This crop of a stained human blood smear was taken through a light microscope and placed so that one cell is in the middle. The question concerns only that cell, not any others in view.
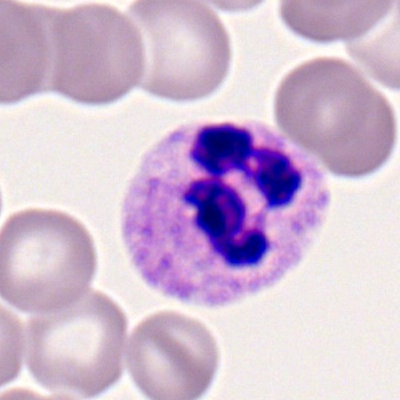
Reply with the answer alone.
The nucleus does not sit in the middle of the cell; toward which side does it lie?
upper right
